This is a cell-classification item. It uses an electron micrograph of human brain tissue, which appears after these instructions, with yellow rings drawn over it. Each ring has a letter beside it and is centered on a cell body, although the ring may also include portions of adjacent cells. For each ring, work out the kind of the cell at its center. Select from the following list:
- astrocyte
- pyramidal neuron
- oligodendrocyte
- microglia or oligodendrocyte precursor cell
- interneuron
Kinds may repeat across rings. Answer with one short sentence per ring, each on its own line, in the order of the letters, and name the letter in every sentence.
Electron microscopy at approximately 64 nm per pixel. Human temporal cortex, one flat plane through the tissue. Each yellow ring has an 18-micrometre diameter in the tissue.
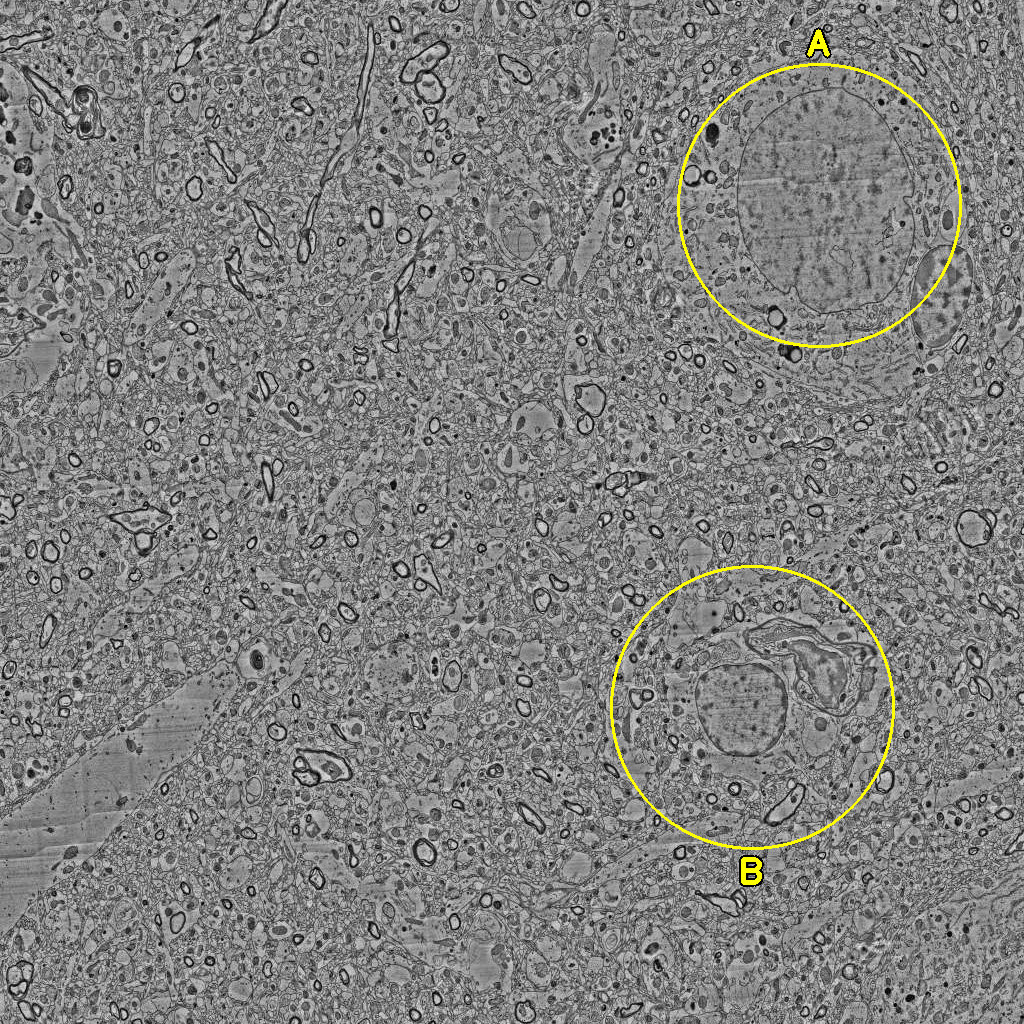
Ring A has a pyramidal neuron at its center.
Ring B has a microglial cell or oligodendrocyte precursor cell at its center.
